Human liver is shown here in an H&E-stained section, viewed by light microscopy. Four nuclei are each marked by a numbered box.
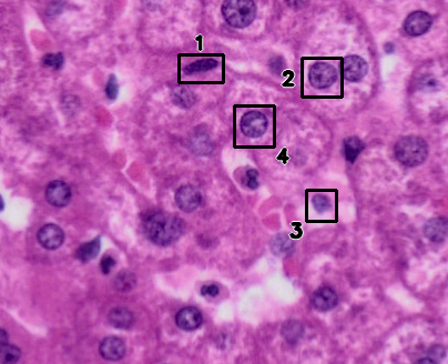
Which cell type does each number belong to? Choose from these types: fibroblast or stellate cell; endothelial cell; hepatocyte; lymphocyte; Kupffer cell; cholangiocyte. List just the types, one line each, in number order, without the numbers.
fibroblast or stellate cell
hepatocyte
lymphocyte
hepatocyte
